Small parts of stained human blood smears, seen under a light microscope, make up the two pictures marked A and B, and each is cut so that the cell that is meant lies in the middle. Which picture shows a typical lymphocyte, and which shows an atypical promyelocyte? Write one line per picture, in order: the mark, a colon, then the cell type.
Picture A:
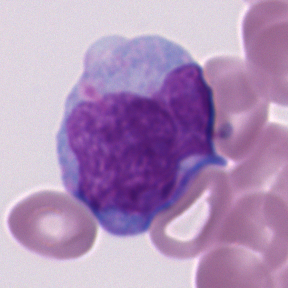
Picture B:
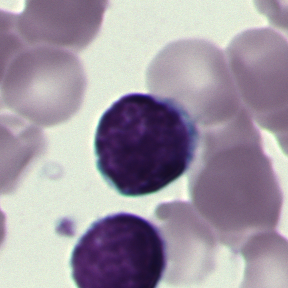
A: atypical promyelocyte
B: typical lymphocyte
